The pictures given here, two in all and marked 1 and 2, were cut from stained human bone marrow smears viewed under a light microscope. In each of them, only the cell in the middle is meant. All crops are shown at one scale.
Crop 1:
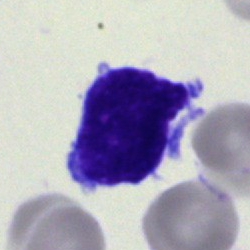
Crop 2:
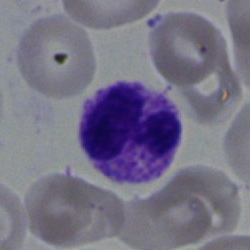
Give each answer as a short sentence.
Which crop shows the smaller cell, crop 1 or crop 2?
Crop 2 holds the smaller cell, since the cell in crop 1 covers about 1.5 times as much area.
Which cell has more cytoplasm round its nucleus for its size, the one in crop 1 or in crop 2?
Of the two, the nucleus in crop 2 leaves more room for cytoplasm.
